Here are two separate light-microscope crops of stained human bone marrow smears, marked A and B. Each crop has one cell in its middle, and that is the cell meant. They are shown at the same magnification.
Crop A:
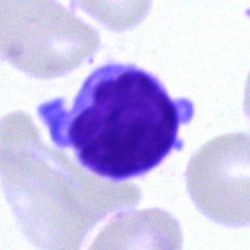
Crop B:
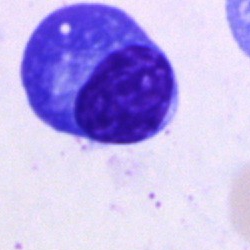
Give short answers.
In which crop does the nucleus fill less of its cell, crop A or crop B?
B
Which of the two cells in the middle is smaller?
A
